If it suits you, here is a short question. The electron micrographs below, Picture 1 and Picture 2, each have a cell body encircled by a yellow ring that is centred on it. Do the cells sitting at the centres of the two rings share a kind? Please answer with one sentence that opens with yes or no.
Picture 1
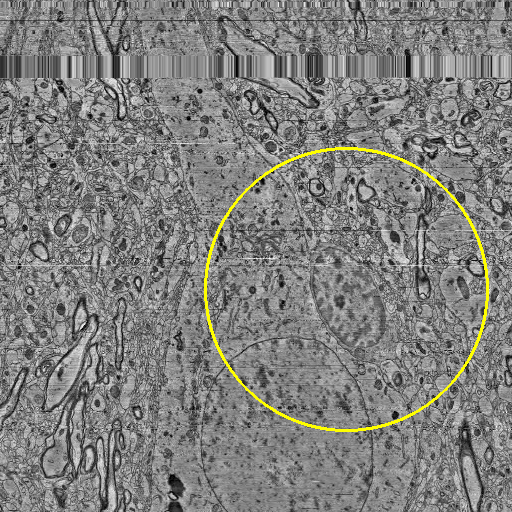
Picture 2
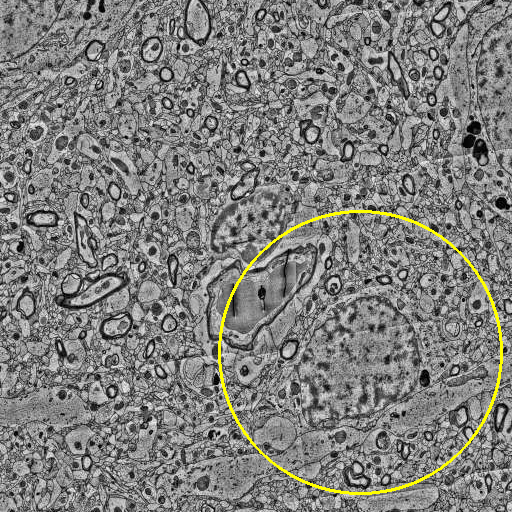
No, the two cells sitting at the ring centres fall into two kinds.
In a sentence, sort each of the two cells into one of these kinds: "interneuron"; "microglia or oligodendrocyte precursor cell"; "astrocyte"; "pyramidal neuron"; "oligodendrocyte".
The first of the two cells is an oligodendrocyte, and the second is an interneuron.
